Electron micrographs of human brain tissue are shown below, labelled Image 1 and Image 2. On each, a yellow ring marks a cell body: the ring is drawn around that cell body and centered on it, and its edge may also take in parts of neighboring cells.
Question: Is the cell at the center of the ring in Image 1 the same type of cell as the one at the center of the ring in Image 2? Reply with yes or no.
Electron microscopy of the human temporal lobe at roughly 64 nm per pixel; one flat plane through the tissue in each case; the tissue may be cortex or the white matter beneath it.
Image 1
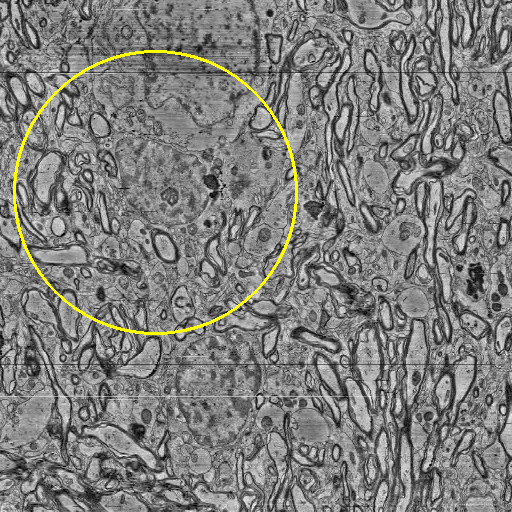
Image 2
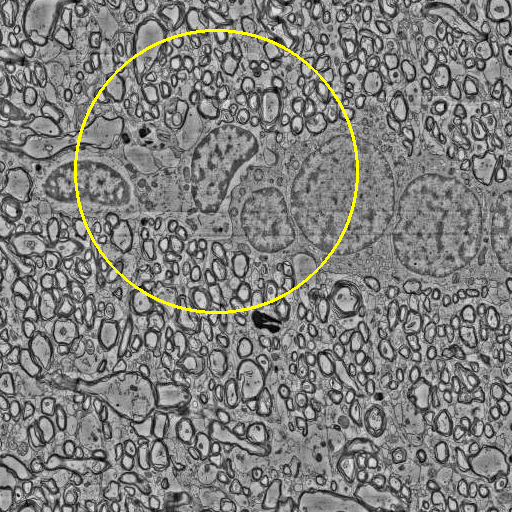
no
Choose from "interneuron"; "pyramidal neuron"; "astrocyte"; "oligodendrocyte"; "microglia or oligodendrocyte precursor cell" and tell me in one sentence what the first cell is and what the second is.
What the first ring is centred on is an oligodendrocyte; what the second ring is centred on is a microglial cell or oligodendrocyte precursor cell.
